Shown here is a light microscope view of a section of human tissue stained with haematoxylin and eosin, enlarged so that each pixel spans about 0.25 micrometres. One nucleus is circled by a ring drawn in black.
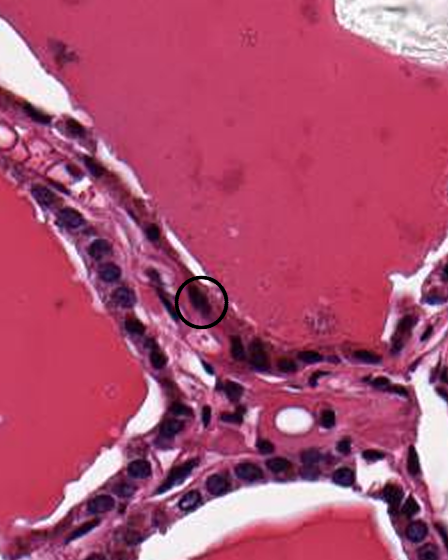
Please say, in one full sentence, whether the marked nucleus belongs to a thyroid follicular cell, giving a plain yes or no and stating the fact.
Yes, it is a thyroid follicular cell that holds the marked nucleus.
